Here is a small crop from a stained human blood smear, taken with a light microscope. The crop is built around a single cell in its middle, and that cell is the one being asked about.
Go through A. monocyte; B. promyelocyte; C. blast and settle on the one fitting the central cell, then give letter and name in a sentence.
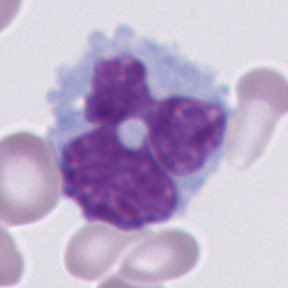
The middle of the crop holds a monocyte, which points to option A.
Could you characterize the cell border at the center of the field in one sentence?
Seen at its edge, the cell is not smooth but ragged or projecting.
